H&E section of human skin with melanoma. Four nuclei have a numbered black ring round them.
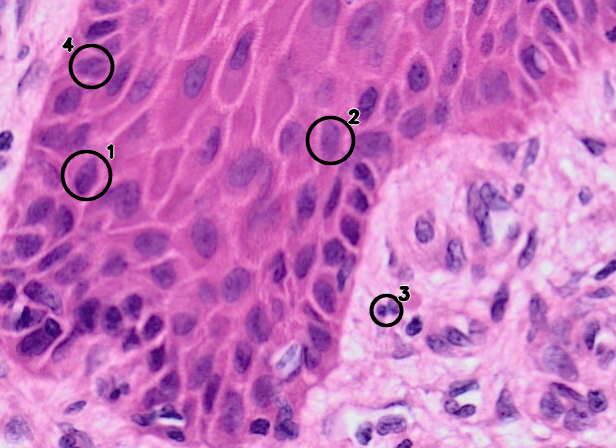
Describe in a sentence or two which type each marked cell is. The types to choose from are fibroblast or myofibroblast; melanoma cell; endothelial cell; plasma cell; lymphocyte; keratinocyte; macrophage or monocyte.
Cells 1, 2 and 4 are keratinocytes. Cell 3 is a lymphocyte.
